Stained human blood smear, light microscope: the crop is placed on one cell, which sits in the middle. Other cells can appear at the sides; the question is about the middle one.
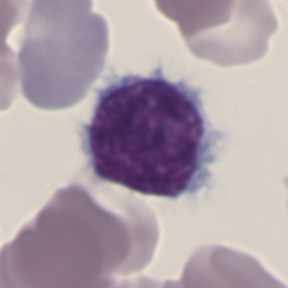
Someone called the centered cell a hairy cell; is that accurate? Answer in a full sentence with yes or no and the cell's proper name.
Yes, the cell in the middle of this smear crop is a hairy cell.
